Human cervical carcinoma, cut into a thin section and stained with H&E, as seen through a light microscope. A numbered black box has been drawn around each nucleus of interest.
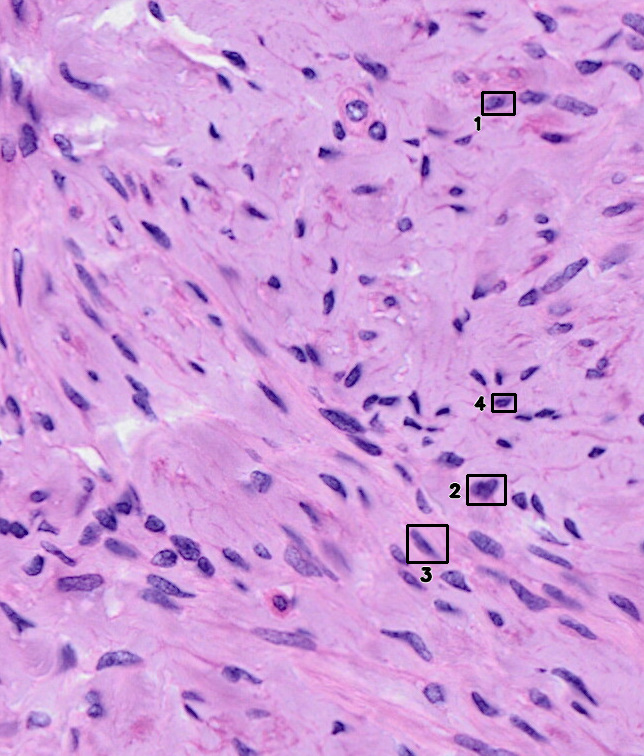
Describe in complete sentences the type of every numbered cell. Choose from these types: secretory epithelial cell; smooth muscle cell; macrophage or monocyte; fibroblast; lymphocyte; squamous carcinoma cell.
Cell 1 is a smooth muscle cell. Cells 2, 3 and 4 are fibroblasts.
